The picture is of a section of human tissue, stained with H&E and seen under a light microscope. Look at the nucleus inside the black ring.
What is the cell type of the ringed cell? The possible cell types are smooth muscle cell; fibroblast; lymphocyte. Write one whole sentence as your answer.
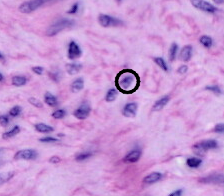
As to its cell type, the ringed cell is a smooth muscle cell.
